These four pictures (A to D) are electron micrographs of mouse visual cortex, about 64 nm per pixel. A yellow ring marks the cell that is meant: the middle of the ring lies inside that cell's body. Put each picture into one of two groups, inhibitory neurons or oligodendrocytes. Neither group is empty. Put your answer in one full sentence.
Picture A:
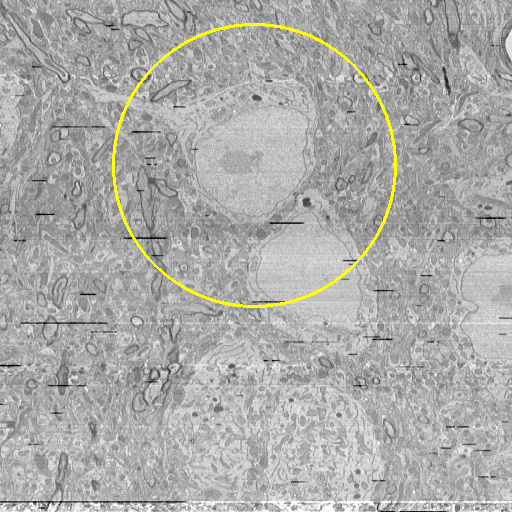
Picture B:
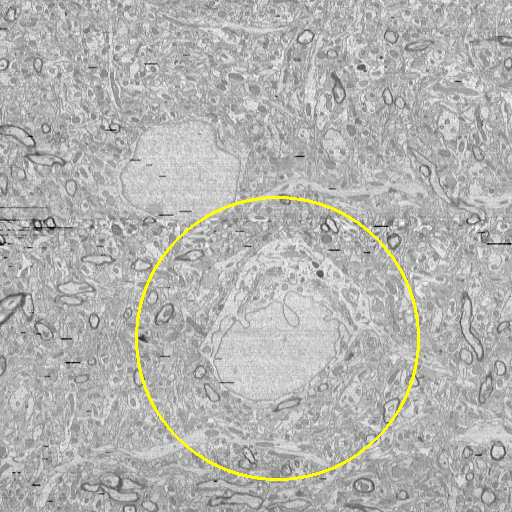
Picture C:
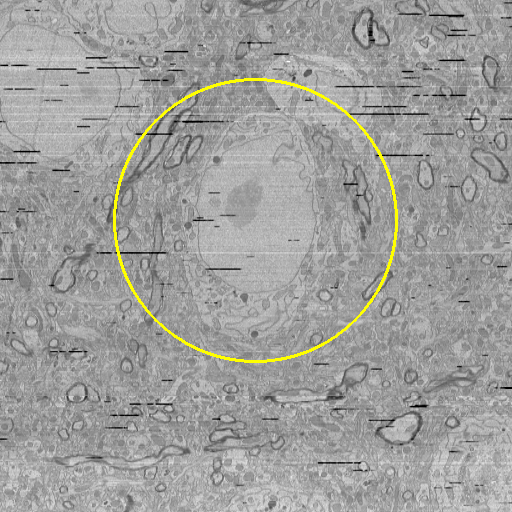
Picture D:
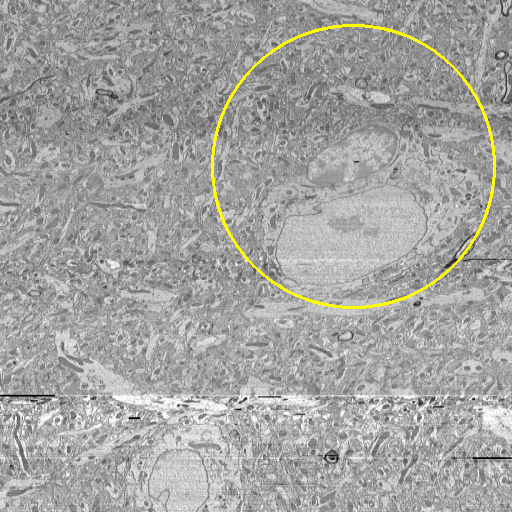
Pictures A, B and C show inhibitory neurons, and picture D shows an oligodendrocyte.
